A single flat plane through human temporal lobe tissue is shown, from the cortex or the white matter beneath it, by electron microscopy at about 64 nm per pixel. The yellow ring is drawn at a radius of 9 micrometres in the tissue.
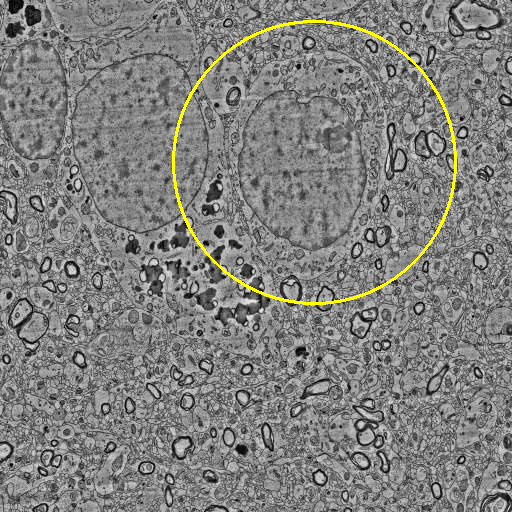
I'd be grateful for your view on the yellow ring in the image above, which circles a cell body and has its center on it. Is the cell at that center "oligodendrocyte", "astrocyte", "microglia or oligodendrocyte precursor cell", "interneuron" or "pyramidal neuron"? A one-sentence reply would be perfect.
The cell at the center of the yellow ring is an interneuron.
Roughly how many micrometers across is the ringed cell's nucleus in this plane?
The ringed cell's nucleus measures approximately 10 by 8 micrometres in this plane.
